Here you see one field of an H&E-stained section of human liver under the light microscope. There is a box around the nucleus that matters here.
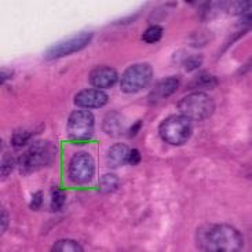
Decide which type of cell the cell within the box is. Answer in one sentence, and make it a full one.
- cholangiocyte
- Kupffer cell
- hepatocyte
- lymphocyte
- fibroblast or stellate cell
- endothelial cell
In this section of tissue, the cell within the box is a cholangiocyte.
